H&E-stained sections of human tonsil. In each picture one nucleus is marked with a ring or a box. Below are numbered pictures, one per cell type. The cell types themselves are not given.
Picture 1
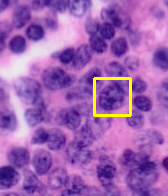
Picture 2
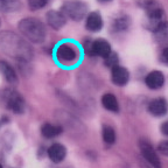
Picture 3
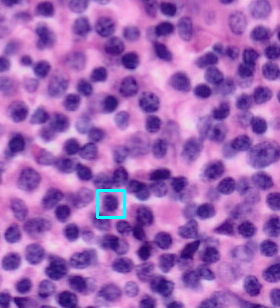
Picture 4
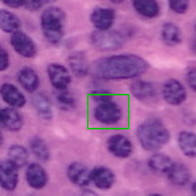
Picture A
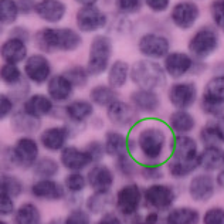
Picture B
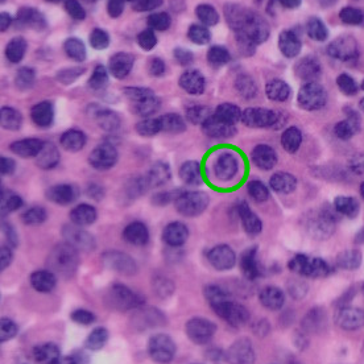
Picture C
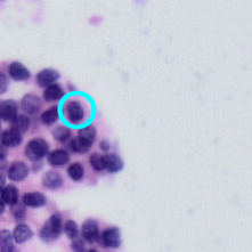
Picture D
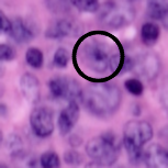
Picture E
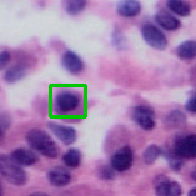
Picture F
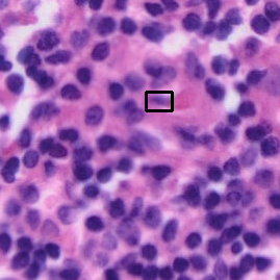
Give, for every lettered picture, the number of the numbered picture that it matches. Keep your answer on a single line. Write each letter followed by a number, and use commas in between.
A 3, B 4, C 3, D 1, E 4, F 2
